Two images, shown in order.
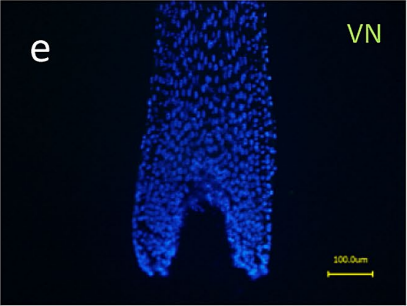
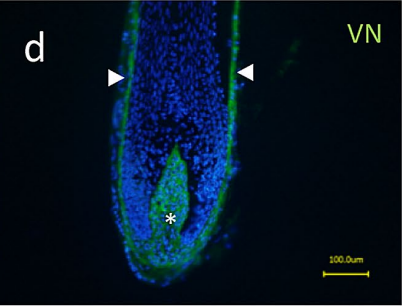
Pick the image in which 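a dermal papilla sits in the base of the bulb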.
The second image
